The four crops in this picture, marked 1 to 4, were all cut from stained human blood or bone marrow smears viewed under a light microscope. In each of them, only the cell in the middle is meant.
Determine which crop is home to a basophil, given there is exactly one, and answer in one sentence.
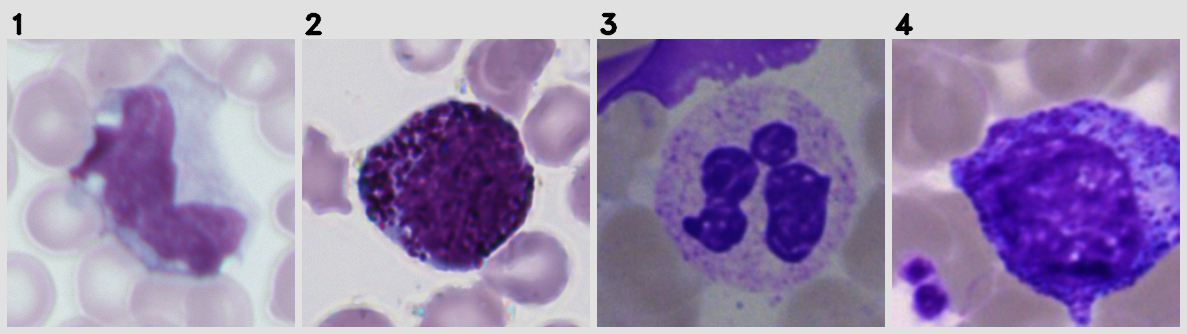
Among the crops given, only crop 2 shows a basophil.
